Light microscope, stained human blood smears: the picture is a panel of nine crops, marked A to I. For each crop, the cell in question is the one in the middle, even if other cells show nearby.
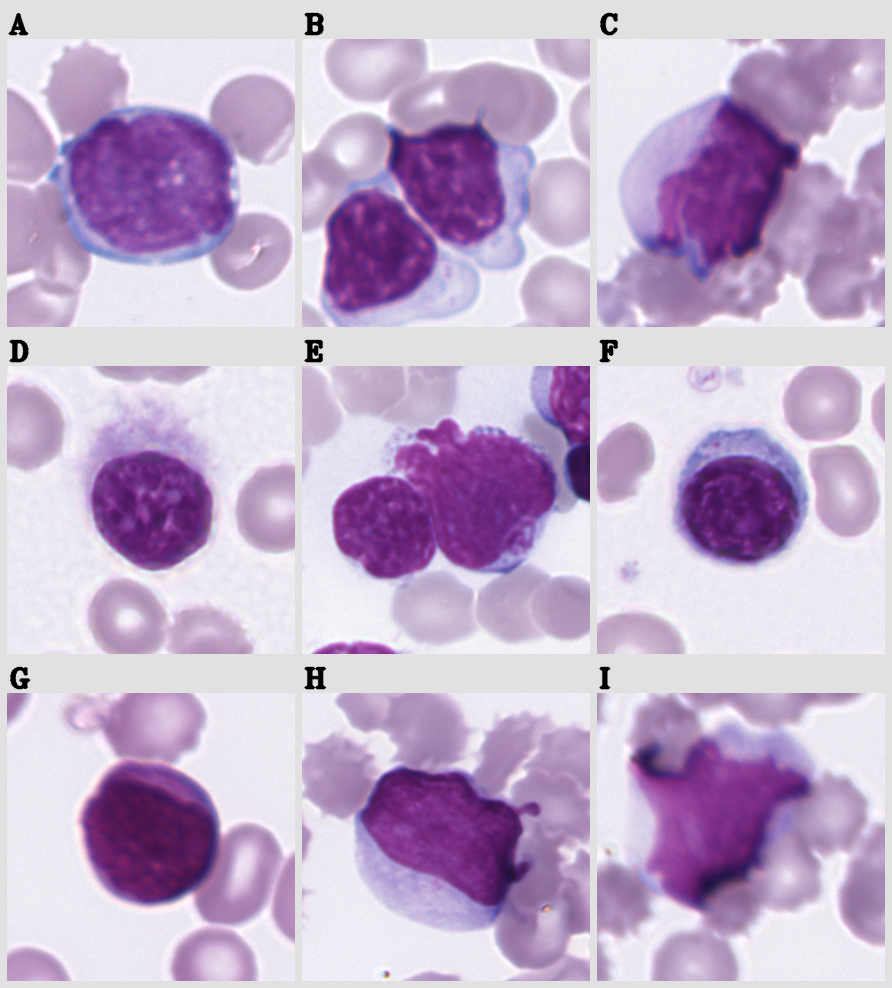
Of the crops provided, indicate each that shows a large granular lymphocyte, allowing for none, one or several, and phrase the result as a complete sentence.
The set contains a single crop with a large granular lymphocyte, and it is crop B.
